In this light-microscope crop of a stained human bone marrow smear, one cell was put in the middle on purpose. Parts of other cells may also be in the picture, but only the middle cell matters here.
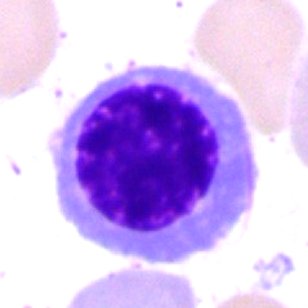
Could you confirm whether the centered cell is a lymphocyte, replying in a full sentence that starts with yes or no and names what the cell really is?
No, not a lymphocyte but an erythroblast is the cell in the centre.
